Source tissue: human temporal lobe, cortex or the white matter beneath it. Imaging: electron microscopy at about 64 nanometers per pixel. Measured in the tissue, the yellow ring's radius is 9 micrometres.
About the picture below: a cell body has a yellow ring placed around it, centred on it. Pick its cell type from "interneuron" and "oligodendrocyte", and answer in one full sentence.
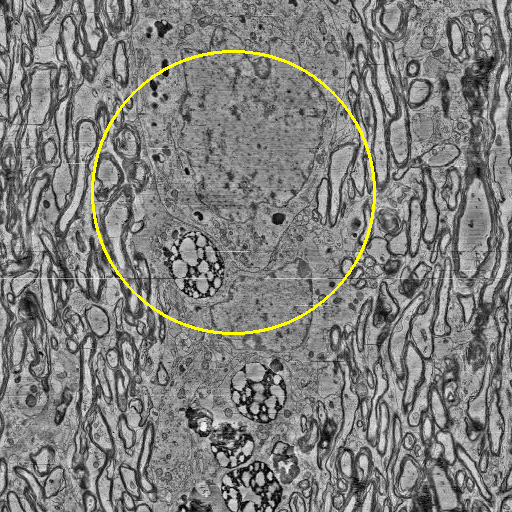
In the picture, an interneuron is the cell sitting at the centre of the yellow ring.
